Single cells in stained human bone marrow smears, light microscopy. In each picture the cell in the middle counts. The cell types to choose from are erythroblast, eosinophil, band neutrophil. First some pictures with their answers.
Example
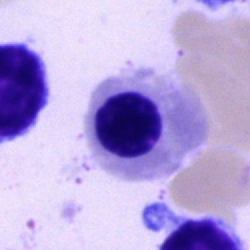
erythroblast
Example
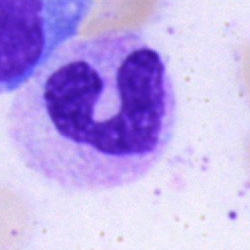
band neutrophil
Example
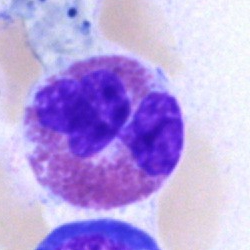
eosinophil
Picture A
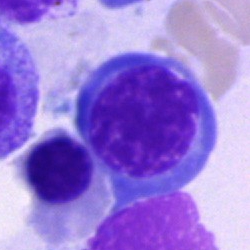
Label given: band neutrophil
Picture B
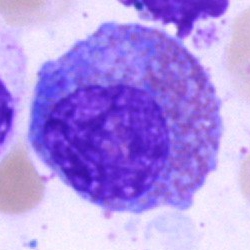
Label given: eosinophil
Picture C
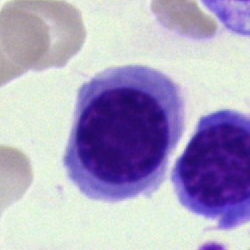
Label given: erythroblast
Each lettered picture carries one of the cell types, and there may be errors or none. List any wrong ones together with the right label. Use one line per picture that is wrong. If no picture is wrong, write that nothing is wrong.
Wrong: A (band neutrophil); correct: erythroblast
